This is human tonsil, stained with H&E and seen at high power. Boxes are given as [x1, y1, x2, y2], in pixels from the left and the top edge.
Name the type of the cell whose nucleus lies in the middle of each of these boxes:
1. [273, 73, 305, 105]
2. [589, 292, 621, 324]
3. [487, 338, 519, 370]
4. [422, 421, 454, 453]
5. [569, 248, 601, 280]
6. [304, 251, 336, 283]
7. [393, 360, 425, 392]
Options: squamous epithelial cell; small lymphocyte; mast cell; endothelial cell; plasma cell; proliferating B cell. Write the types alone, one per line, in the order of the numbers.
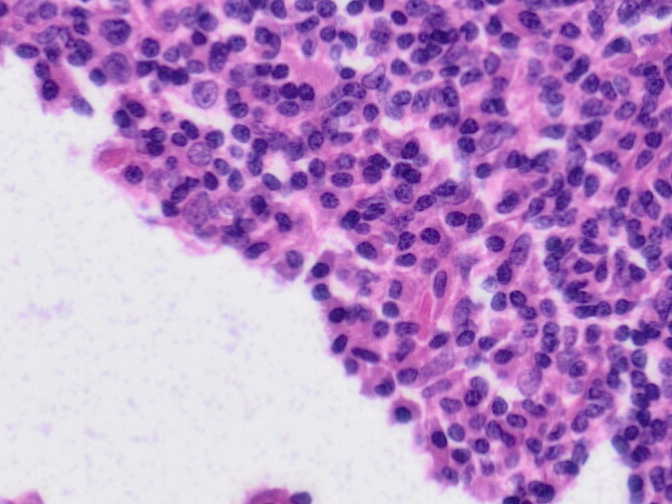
small lymphocyte
small lymphocyte
plasma cell
plasma cell
small lymphocyte
plasma cell
plasma cell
